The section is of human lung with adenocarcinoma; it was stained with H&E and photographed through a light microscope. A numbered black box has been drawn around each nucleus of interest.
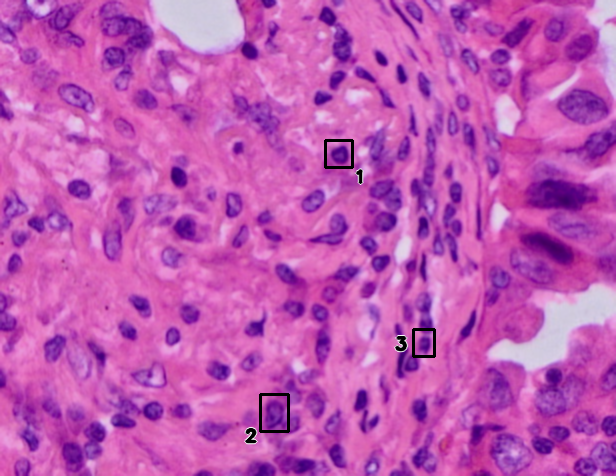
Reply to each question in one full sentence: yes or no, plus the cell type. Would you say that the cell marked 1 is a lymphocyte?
No, the cell given number 1 is a plasma cell, as opposed to a lymphocyte.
